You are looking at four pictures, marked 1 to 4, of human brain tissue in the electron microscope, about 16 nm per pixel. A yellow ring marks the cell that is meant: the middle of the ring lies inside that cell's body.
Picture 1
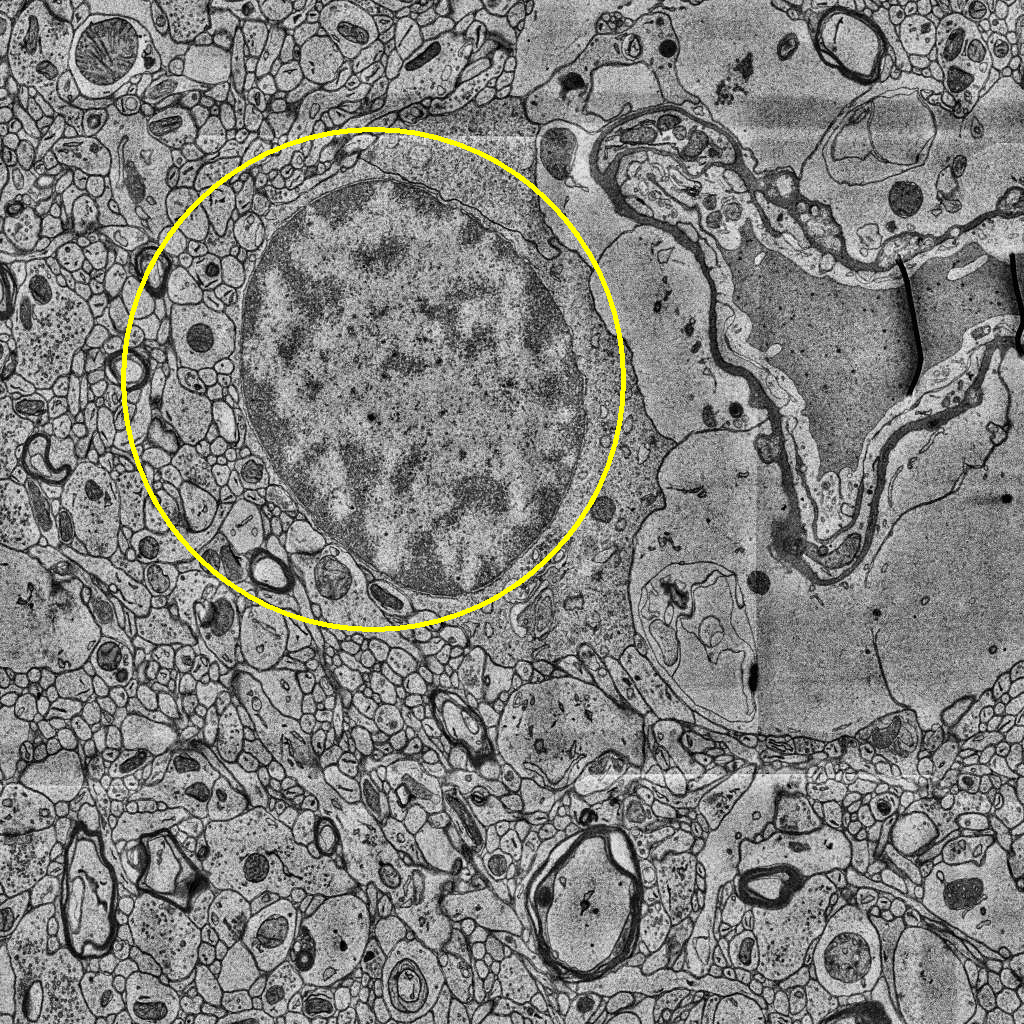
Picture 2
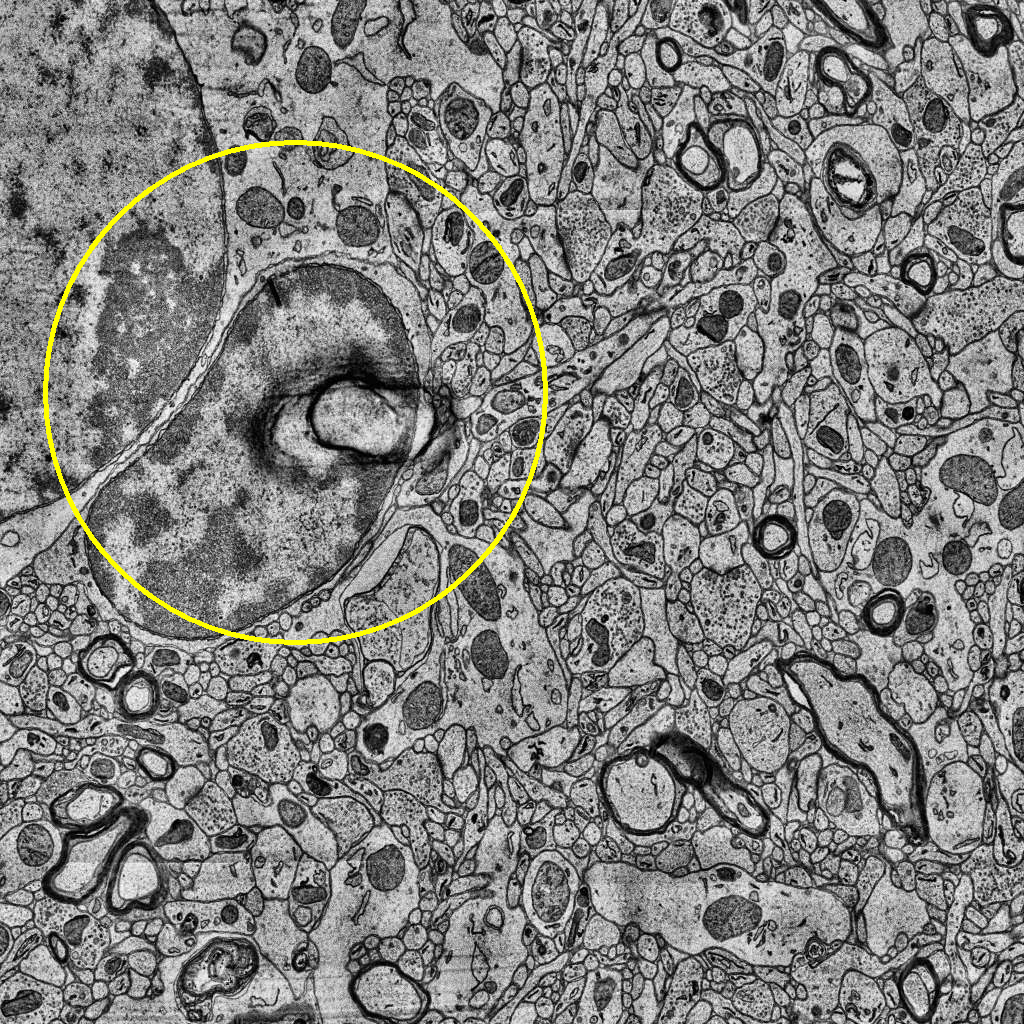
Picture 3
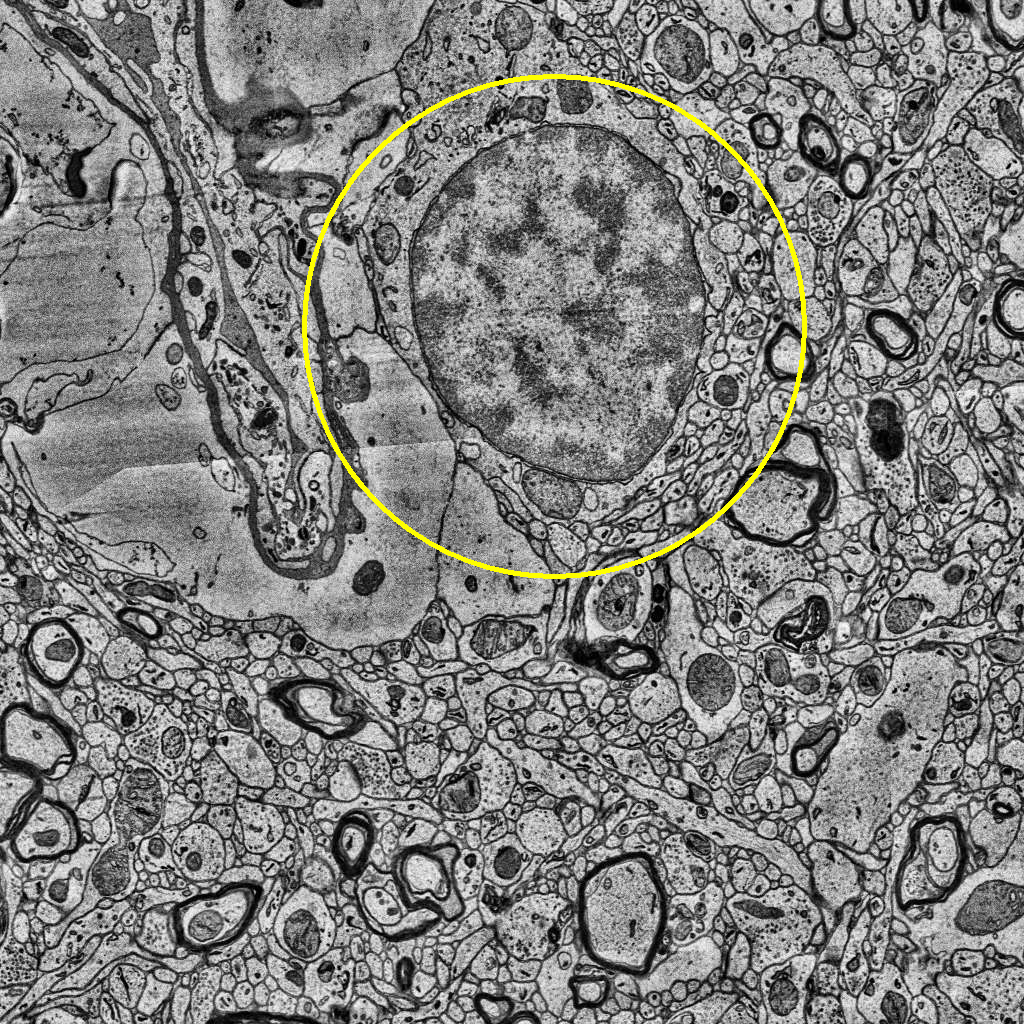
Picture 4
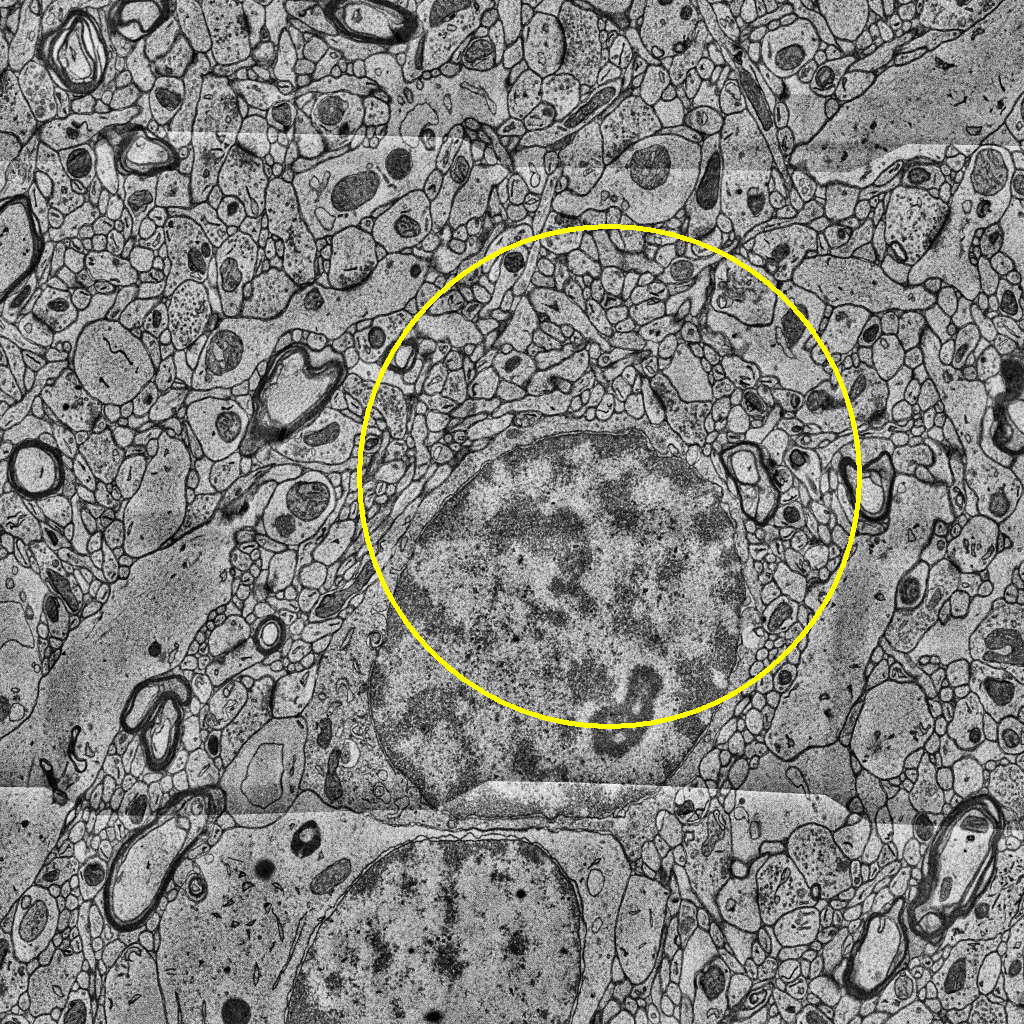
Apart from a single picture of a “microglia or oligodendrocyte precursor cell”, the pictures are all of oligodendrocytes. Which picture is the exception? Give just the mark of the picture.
2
